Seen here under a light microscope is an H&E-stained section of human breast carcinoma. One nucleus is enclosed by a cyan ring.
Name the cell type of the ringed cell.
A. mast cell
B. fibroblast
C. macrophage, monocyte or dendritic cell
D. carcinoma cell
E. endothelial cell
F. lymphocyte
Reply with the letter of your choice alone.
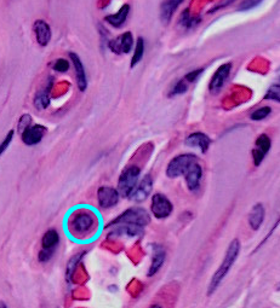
A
